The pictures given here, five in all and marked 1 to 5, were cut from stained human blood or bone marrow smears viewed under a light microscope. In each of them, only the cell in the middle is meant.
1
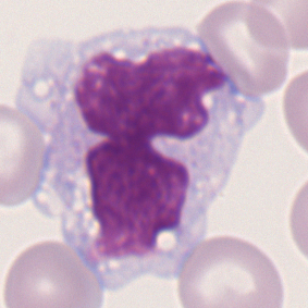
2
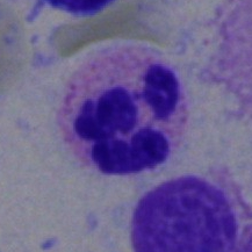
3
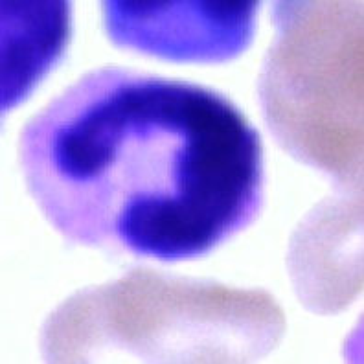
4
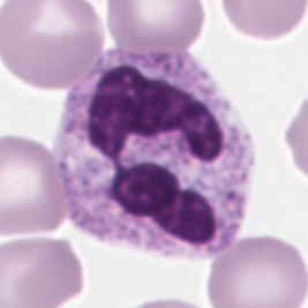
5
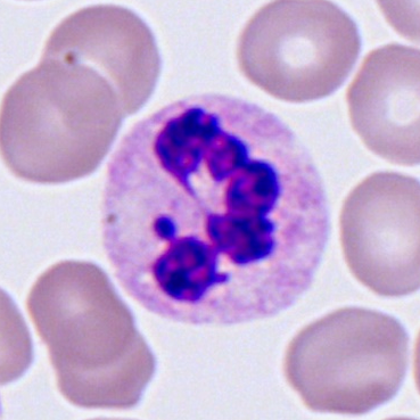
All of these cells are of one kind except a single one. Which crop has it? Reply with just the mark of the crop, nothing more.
1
